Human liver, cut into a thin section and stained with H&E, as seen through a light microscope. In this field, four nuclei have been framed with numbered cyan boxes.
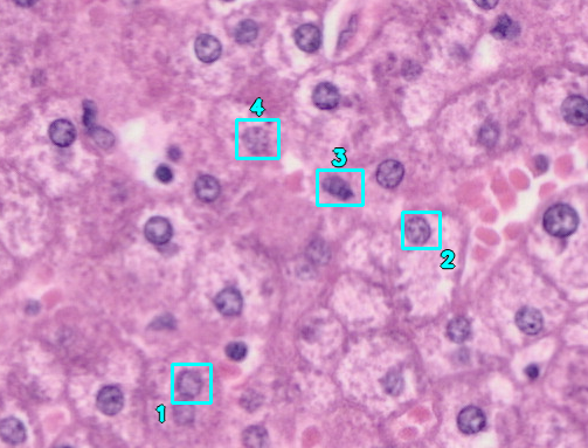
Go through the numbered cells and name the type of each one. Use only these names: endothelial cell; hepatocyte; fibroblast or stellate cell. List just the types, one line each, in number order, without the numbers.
hepatocyte
hepatocyte
fibroblast or stellate cell
hepatocyte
